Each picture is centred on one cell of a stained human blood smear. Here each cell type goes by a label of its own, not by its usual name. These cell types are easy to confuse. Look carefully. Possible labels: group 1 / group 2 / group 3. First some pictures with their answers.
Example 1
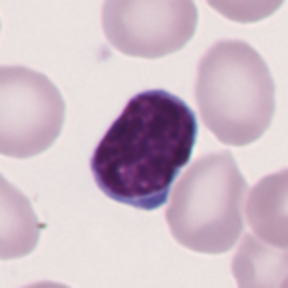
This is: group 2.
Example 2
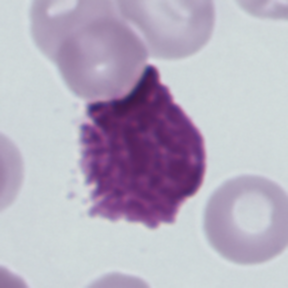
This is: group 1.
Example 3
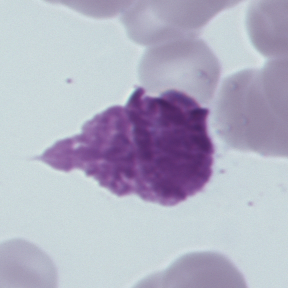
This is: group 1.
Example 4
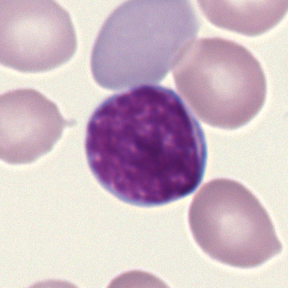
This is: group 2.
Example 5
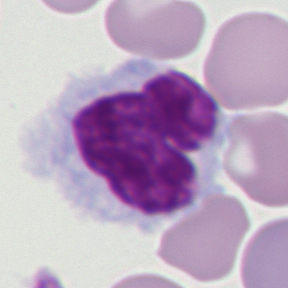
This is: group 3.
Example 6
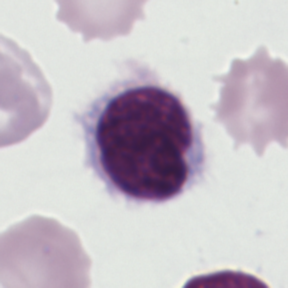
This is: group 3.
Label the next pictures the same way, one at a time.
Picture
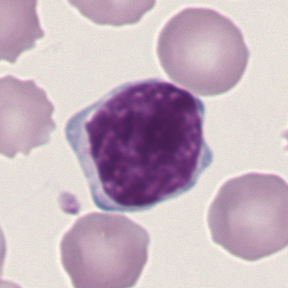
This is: group 2.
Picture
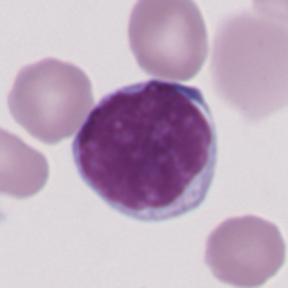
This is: group 2.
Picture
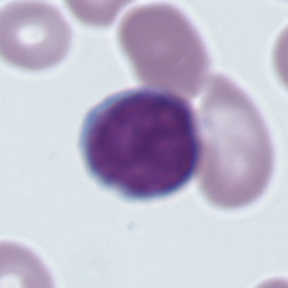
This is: group 2.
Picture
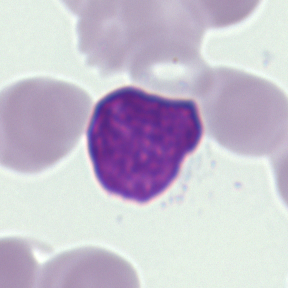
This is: group 1.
